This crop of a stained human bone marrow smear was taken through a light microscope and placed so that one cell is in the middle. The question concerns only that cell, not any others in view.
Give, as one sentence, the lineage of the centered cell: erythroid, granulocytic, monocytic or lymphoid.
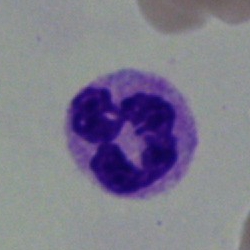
In this crop the cell in the center is part of the granulocytic lineage.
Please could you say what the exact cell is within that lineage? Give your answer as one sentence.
To answer, the cell in the center of the crop is a segmented neutrophil.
